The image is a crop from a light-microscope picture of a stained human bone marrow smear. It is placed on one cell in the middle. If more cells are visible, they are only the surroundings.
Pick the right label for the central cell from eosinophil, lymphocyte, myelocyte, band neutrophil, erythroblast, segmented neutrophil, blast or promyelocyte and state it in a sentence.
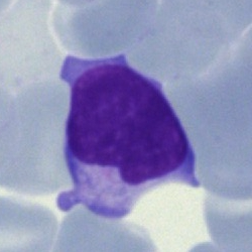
In the middle of this smear crop is a lymphocyte.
